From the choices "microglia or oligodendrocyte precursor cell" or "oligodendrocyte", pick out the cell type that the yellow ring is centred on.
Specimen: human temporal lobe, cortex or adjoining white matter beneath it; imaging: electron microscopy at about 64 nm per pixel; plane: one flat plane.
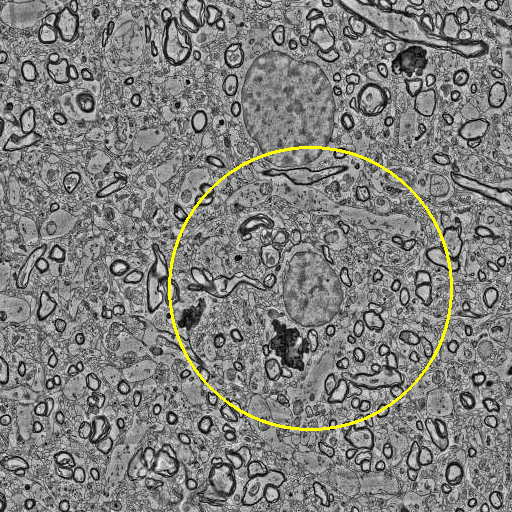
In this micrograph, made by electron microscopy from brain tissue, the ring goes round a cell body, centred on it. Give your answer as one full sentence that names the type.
The yellow ring is centred on an oligodendrocyte, whose cell body it encircles in the picture.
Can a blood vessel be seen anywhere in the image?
No, no blood vessel can be seen.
